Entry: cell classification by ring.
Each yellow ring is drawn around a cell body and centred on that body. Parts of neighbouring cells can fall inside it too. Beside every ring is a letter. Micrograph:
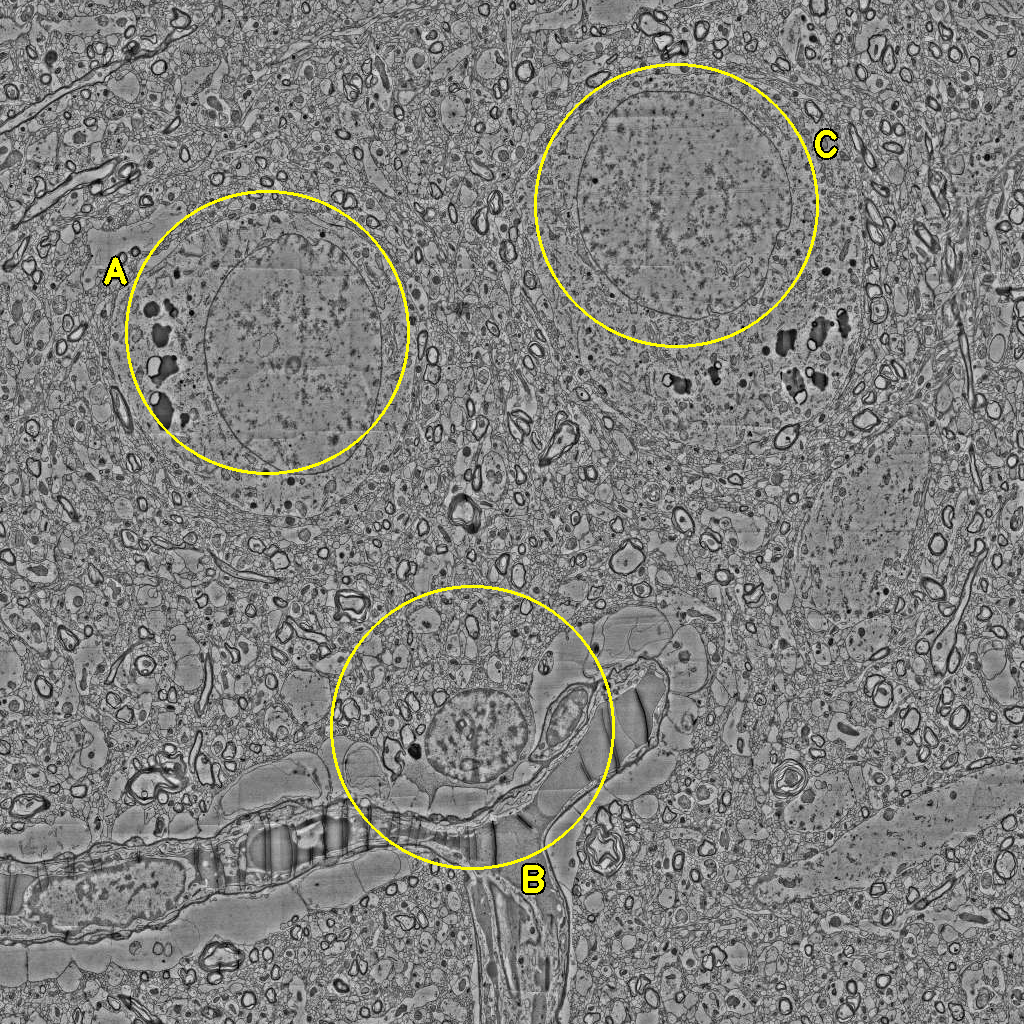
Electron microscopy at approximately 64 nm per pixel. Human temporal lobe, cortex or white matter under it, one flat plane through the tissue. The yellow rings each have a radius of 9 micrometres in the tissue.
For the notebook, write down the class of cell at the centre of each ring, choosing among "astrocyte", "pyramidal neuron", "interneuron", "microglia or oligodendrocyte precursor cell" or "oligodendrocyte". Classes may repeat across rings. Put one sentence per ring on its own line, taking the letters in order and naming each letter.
Ring A marks a pyramidal neuron.
Ring B marks an oligodendrocyte.
Ring C marks a pyramidal neuron.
